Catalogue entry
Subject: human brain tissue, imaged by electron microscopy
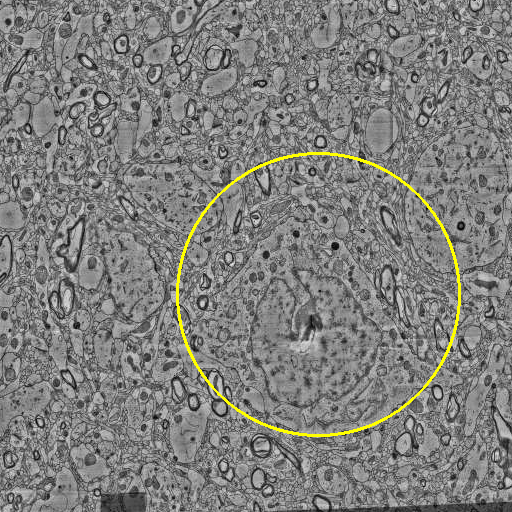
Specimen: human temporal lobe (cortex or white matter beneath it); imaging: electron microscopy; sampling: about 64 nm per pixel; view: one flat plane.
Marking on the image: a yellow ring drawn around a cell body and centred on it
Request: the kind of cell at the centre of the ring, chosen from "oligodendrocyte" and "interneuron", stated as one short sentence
The ring has an interneuron at its centre.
